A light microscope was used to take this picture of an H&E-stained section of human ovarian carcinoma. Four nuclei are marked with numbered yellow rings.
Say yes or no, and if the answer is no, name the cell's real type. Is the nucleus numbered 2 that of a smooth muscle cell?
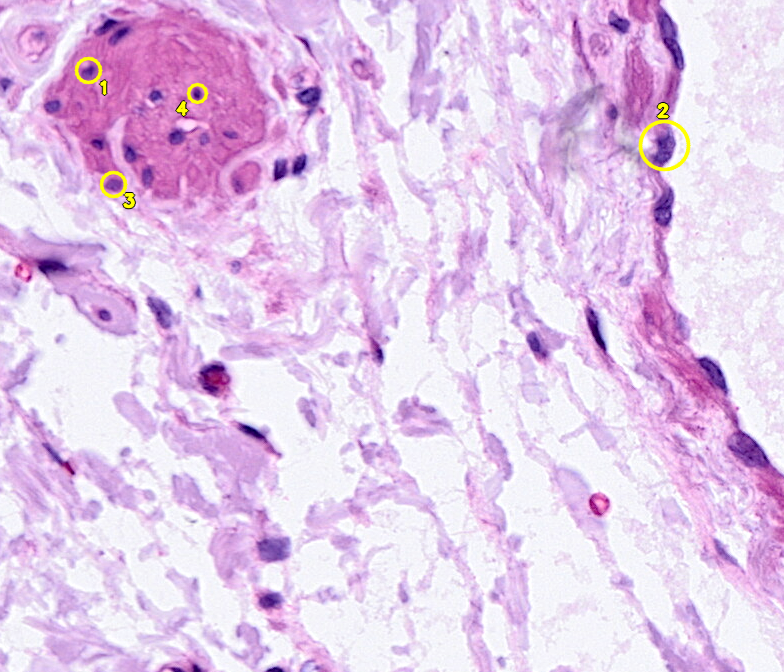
No, it is an endothelial cell.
